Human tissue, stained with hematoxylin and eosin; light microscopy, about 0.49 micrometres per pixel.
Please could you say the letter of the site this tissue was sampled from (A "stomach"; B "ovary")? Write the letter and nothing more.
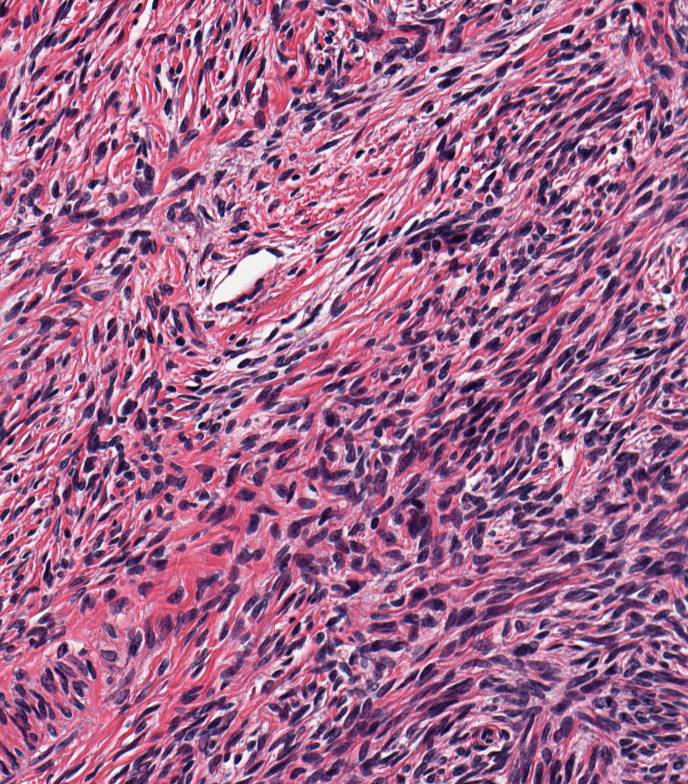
B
